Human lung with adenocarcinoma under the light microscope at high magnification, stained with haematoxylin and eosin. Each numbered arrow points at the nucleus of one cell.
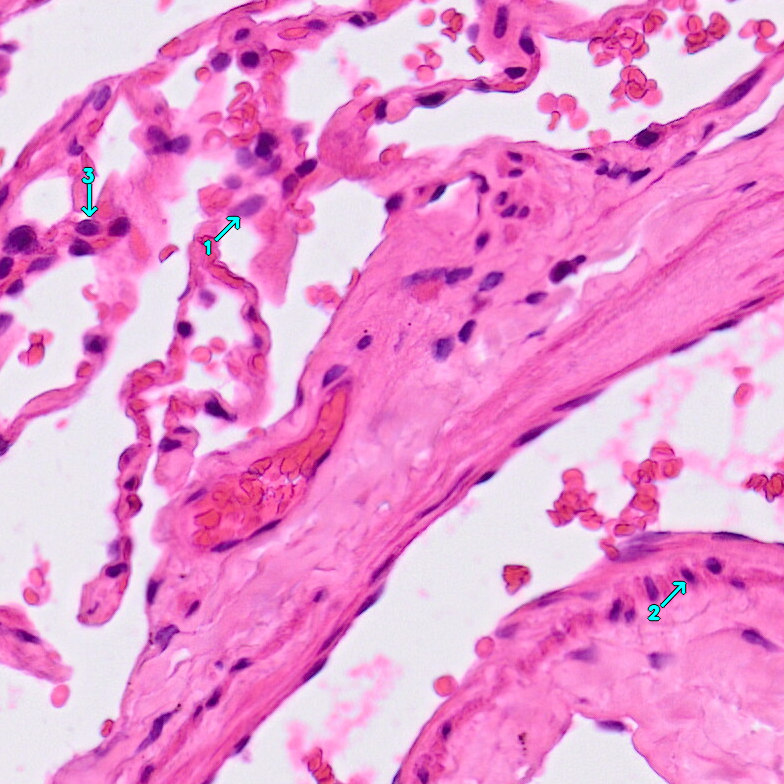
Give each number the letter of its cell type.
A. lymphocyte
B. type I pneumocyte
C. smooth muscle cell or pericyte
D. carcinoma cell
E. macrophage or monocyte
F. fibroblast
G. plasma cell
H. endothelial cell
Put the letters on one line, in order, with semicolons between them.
B; C; B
